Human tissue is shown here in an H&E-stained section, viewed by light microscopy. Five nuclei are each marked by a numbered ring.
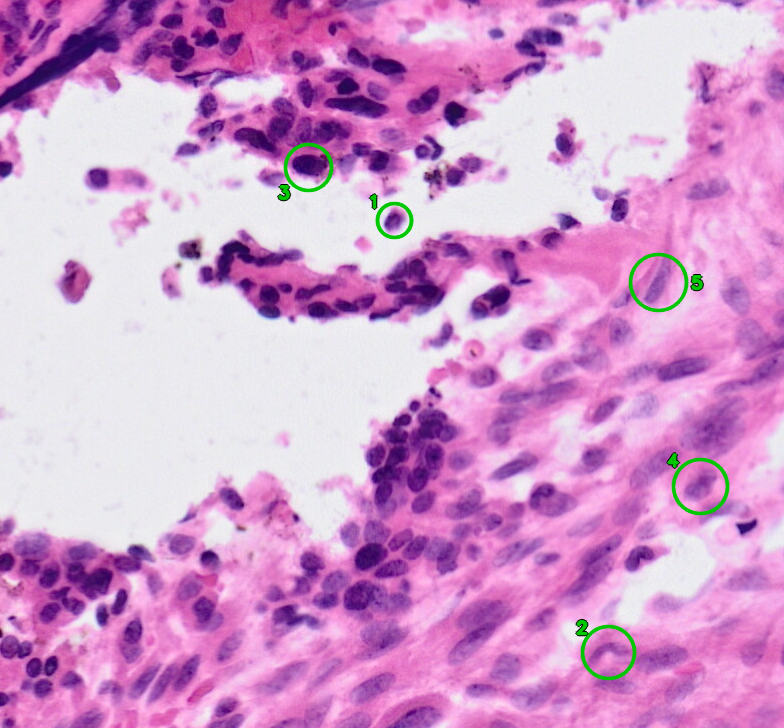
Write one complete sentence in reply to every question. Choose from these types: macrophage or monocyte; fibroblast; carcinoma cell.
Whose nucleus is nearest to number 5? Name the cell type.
The nucleus nearest to number 5 is that of a fibroblast.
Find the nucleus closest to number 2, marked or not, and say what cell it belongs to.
It is a fibroblast whose nucleus is nearest to number 2.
